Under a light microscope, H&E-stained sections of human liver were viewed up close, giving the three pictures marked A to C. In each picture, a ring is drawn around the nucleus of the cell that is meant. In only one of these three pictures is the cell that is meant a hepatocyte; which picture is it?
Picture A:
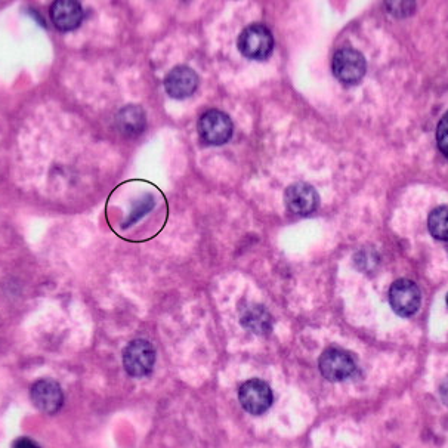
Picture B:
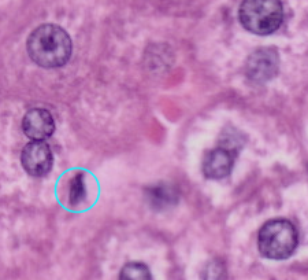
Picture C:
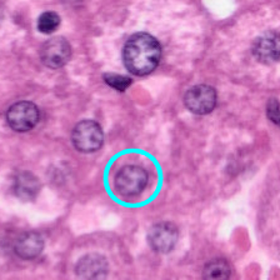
C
